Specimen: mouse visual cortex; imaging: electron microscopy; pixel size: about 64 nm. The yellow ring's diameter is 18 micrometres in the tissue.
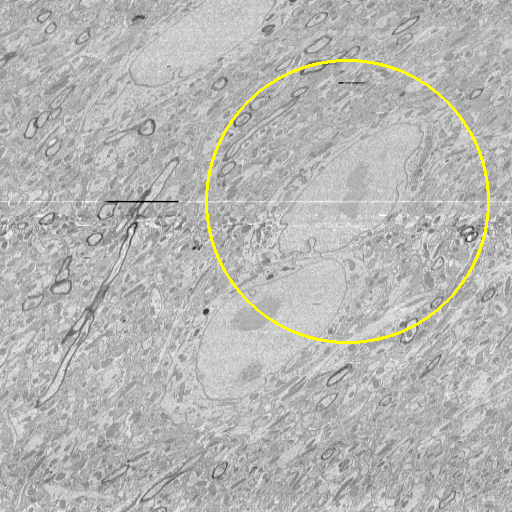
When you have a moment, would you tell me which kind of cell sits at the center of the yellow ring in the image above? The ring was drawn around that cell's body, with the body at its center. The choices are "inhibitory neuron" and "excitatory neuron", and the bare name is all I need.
inhibitory neuron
